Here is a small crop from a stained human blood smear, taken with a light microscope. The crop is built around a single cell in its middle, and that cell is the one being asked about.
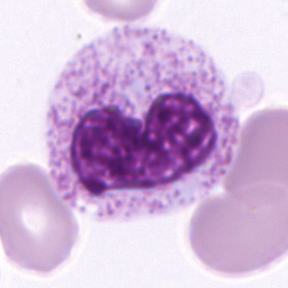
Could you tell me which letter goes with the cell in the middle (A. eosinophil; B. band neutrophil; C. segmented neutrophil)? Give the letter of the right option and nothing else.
B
